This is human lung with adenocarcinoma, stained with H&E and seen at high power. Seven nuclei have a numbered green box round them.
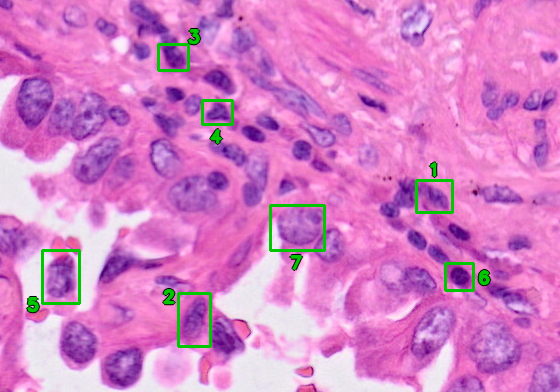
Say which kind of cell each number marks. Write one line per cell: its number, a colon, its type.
1: plasma cell
2: carcinoma cell
3: plasma cell
4: plasma cell
5: carcinoma cell
6: plasma cell
7: carcinoma cell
